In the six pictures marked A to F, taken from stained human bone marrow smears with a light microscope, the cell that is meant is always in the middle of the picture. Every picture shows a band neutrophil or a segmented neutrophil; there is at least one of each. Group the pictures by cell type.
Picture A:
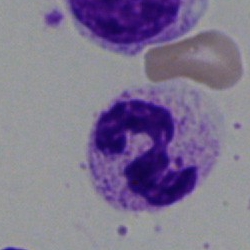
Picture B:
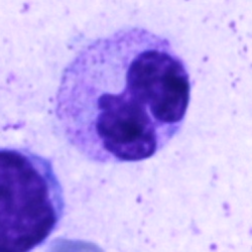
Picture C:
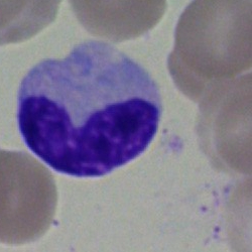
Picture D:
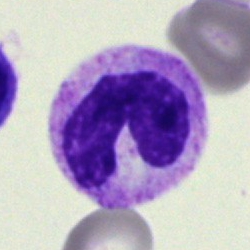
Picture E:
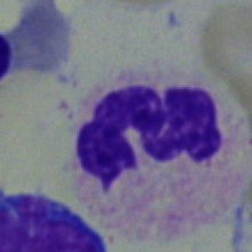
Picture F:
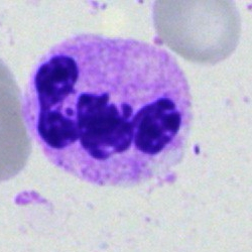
A: segmented neutrophil
B: segmented neutrophil
C: band neutrophil
D: band neutrophil
E: segmented neutrophil
F: segmented neutrophil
